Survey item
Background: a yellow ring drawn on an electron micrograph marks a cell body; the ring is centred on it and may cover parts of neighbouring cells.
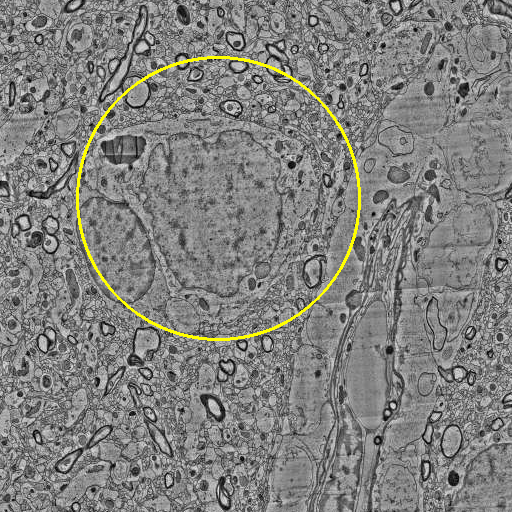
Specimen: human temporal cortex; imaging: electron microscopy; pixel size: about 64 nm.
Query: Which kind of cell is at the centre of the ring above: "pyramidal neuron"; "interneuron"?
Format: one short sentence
The cell in the middle of the ring is an interneuron.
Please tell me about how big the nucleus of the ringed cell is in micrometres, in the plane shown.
The ringed cell's nucleus is about 11 micrometres long and 9 micrometres wide in this plane.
